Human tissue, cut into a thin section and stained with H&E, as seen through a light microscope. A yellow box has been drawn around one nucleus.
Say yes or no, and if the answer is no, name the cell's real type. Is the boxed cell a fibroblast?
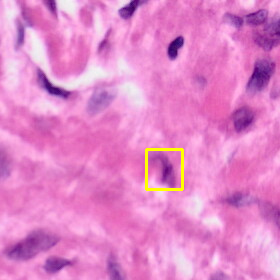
Yes.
